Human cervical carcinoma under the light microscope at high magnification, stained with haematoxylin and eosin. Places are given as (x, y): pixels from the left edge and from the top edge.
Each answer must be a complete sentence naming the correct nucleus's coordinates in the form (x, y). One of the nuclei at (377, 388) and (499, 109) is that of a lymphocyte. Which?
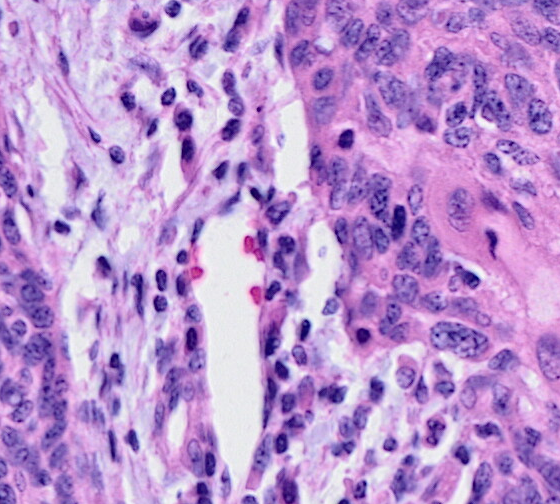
The nucleus at (377, 388), rather than the other, belongs to a lymphocyte.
